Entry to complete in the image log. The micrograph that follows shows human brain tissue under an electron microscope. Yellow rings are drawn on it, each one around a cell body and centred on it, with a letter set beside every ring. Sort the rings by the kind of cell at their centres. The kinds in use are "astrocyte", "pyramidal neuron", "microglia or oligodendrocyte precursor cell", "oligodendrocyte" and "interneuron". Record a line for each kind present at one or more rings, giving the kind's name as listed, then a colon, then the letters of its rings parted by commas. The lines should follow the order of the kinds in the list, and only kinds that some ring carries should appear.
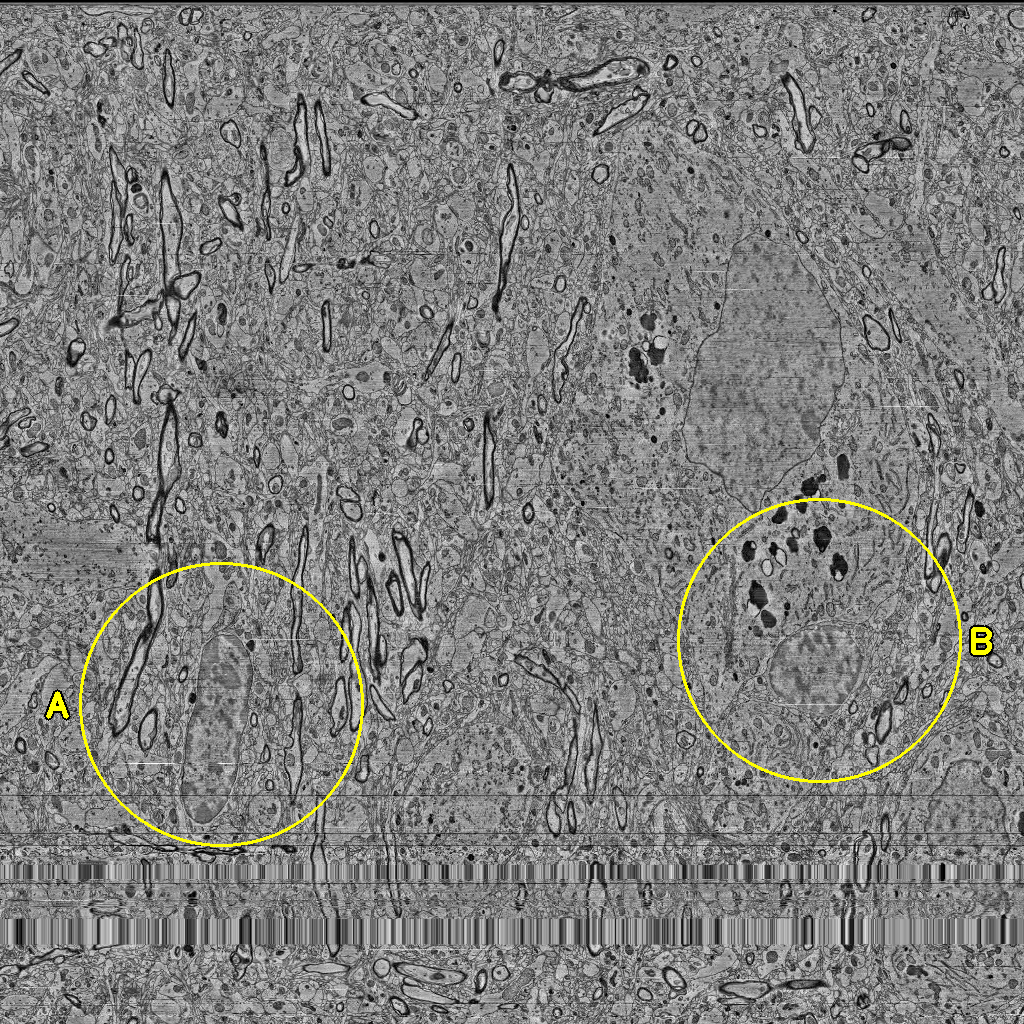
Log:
microglia or oligodendrocyte precursor cell: A
oligodendrocyte: B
